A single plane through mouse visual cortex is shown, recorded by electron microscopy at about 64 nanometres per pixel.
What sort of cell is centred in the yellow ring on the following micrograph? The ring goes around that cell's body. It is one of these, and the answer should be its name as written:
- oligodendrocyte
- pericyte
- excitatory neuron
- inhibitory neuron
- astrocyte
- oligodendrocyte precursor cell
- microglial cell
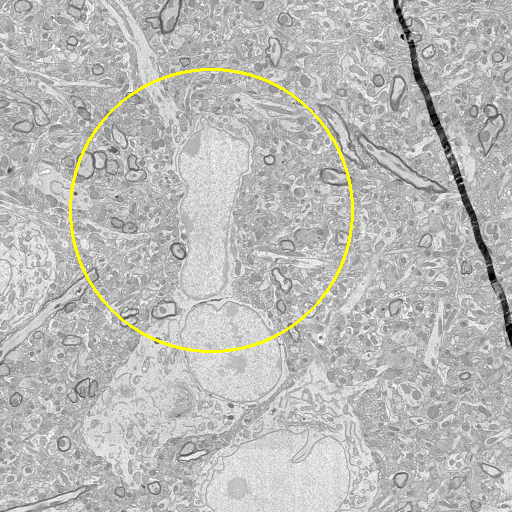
oligodendrocyte precursor cell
